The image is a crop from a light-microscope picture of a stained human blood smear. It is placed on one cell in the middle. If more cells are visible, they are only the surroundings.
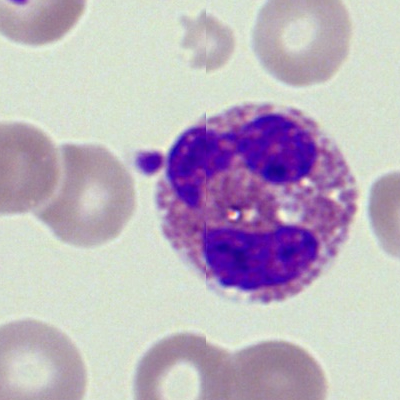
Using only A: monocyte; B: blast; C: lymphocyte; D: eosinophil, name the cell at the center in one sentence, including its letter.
The best answer is option D, since the cell in the middle is an eosinophil.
